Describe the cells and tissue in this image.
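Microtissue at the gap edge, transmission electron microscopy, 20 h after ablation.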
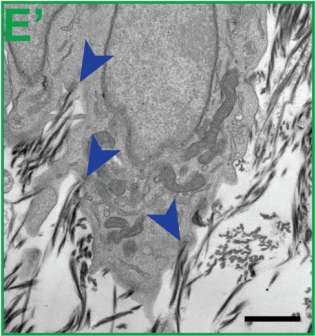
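The cytoplasm contains many elongated, dark-walled organelles. Bundles of fine dark extracellular matrix fibers run along the cell surface and seem to stream away from its margins into the surrounding space.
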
